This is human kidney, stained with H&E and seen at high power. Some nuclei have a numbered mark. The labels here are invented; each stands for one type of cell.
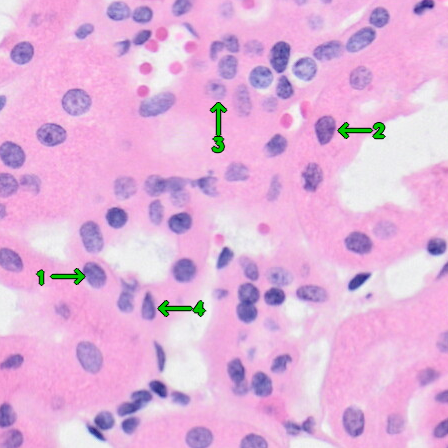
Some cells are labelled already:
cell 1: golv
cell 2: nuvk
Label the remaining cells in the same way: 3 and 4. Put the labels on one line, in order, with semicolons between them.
golv; golv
